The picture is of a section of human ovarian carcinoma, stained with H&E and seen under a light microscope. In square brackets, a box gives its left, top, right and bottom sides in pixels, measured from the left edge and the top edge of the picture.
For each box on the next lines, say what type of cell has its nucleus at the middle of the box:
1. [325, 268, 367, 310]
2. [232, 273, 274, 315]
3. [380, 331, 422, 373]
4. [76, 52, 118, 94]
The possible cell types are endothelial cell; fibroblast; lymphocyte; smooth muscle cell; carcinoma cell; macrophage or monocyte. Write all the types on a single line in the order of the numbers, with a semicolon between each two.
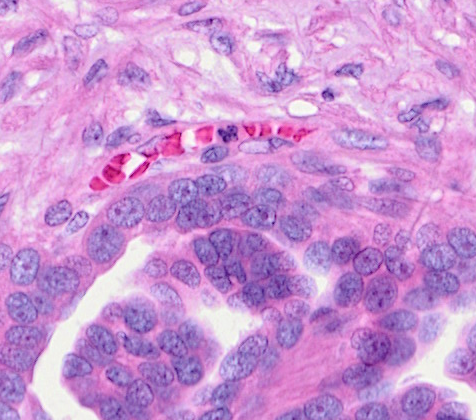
carcinoma cell; carcinoma cell; carcinoma cell; fibroblast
